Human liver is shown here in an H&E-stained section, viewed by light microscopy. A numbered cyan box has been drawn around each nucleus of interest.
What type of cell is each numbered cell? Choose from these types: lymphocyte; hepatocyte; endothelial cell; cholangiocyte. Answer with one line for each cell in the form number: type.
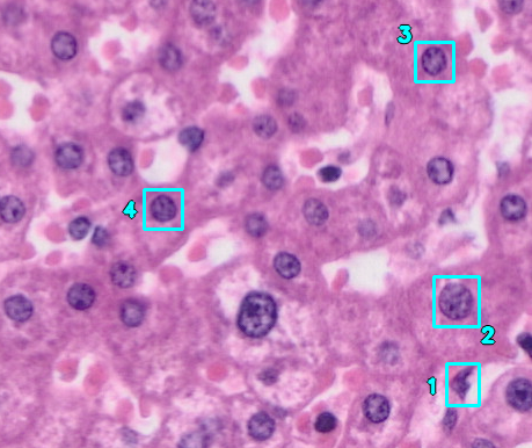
1: endothelial cell
2: hepatocyte
3: hepatocyte
4: hepatocyte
